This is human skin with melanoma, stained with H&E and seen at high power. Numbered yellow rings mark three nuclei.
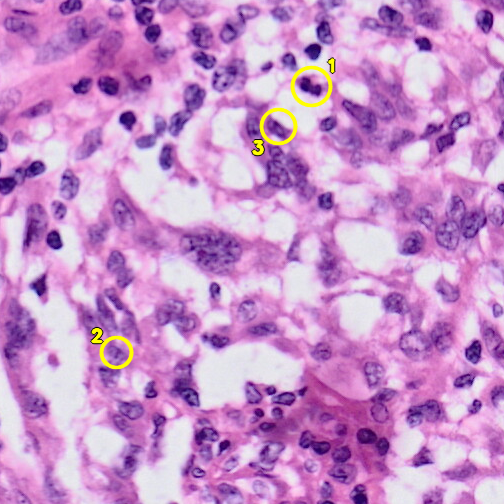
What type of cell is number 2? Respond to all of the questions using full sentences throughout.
In the marked set, the cell given number 2 is a melanoma cell.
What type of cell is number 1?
The cell referenced by the number 1 is a lymphocyte in this field.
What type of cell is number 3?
The marked nucleus 3 is that of a melanoma cell.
